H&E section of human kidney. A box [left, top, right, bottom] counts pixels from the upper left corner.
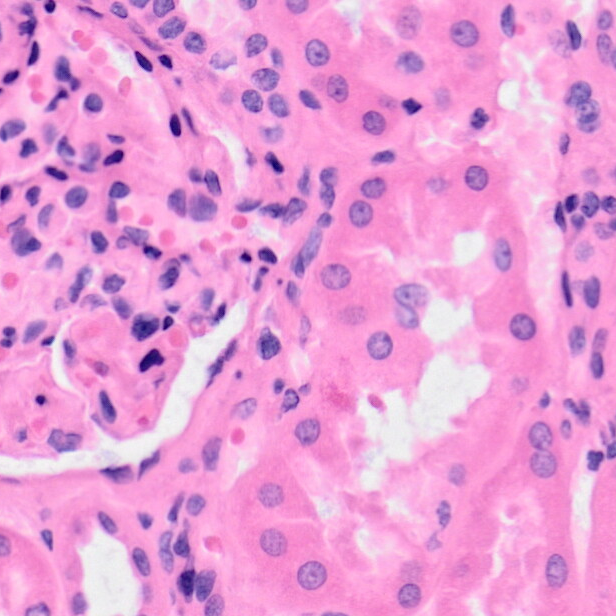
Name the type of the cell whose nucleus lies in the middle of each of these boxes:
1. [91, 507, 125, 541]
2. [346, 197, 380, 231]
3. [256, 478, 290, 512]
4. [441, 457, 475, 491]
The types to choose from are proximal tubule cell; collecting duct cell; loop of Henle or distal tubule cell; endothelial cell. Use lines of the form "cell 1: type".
cell 1: loop of Henle or distal tubule cell
cell 2: proximal tubule cell
cell 3: proximal tubule cell
cell 4: proximal tubule cell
